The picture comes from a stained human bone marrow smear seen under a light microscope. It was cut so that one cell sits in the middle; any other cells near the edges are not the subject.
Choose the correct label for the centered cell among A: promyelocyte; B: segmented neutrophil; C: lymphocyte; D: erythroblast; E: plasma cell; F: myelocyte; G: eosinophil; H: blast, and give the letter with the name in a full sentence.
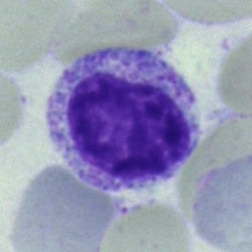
According to option F, which is correct, the cell in the middle is a myelocyte.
